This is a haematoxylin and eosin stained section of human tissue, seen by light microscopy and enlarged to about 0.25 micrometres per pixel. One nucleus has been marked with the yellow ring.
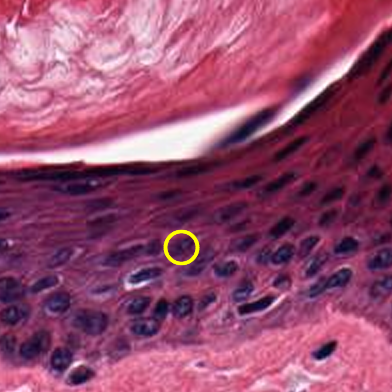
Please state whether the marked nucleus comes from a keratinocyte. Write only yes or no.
yes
